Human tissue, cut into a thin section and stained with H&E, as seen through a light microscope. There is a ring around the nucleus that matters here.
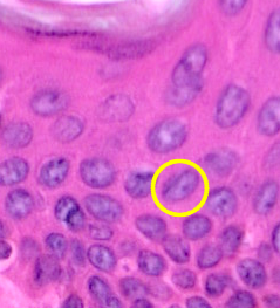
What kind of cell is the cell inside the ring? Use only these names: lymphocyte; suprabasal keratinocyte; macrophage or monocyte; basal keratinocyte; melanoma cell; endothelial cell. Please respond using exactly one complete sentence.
The category to which the cell inside the ring belongs is that of a suprabasal keratinocyte.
